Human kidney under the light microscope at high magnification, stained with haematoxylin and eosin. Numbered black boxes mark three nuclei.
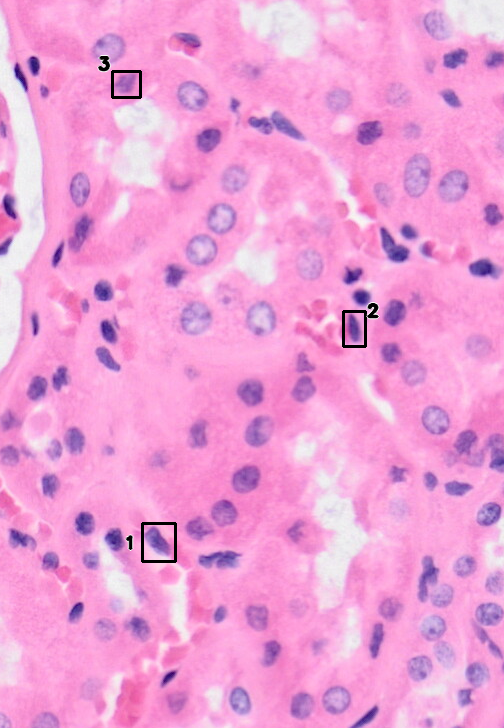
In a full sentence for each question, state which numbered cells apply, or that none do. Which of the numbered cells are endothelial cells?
In terms of cell type, cells 1 and 2 are endothelial cells.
